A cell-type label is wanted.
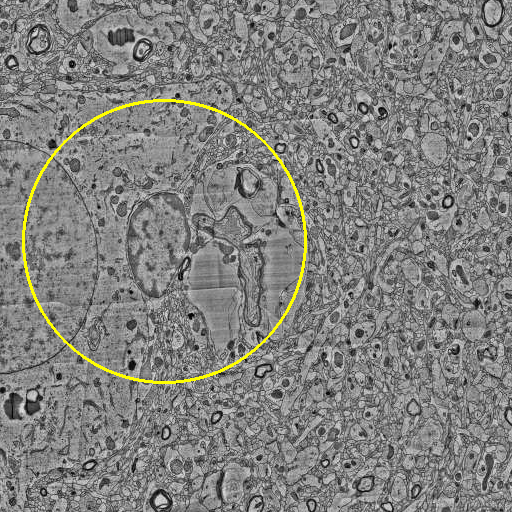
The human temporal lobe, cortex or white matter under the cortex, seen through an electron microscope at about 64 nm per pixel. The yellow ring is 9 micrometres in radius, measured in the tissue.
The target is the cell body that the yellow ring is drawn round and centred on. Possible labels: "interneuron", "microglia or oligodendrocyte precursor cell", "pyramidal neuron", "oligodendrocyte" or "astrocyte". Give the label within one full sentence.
Of the labels offered, the cell in the middle of the yellow ring is a microglial cell or oligodendrocyte precursor cell.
